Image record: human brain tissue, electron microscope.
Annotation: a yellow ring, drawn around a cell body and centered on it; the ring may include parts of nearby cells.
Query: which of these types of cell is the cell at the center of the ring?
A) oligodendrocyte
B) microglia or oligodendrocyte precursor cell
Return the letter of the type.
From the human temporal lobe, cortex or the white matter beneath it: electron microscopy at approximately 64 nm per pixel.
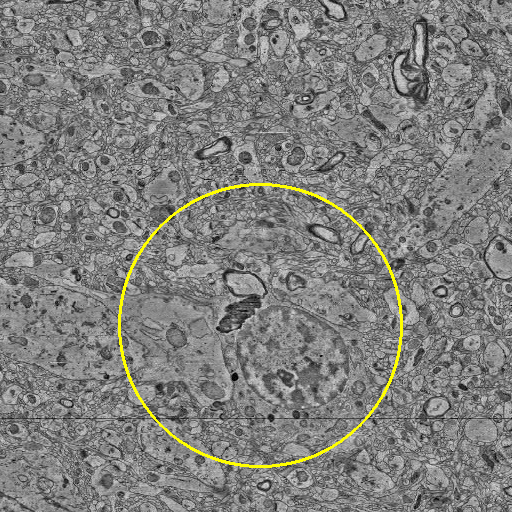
A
